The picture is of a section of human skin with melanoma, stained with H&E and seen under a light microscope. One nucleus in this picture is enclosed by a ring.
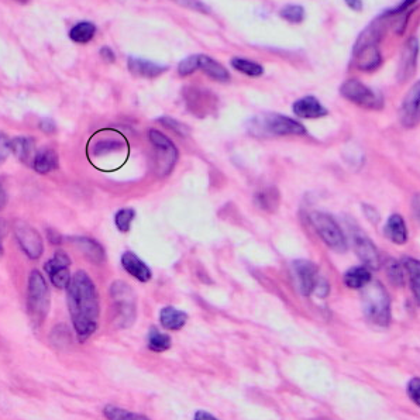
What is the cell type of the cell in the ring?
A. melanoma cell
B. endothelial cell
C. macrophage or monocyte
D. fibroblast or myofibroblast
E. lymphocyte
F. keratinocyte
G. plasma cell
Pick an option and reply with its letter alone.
B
